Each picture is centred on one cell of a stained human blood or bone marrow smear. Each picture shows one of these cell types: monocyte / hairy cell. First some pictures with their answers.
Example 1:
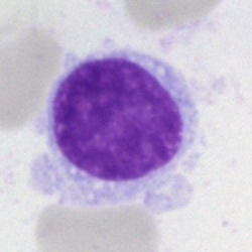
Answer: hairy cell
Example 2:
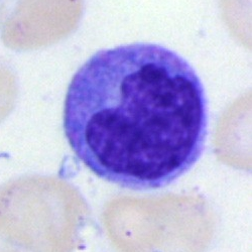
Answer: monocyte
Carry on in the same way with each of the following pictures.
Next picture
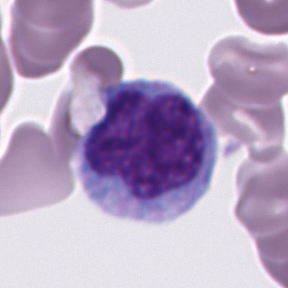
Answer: monocyte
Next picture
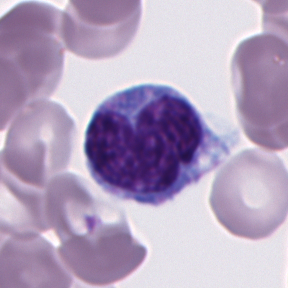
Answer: monocyte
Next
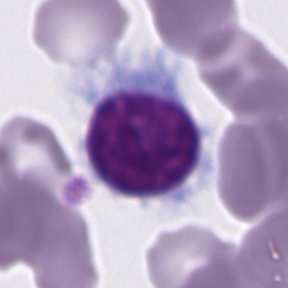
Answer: hairy cell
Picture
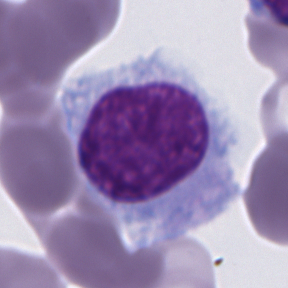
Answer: hairy cell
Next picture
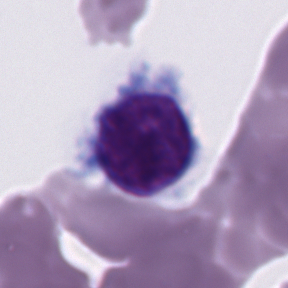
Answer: hairy cell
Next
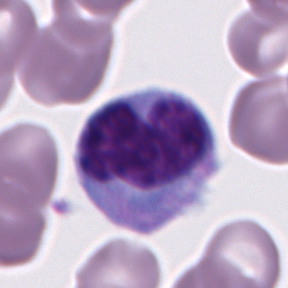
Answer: monocyte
